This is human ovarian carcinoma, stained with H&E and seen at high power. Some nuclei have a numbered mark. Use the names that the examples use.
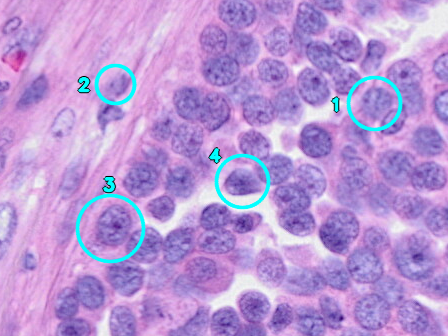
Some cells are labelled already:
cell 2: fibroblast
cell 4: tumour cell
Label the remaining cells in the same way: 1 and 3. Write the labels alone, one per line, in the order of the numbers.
tumour cell
tumour cell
